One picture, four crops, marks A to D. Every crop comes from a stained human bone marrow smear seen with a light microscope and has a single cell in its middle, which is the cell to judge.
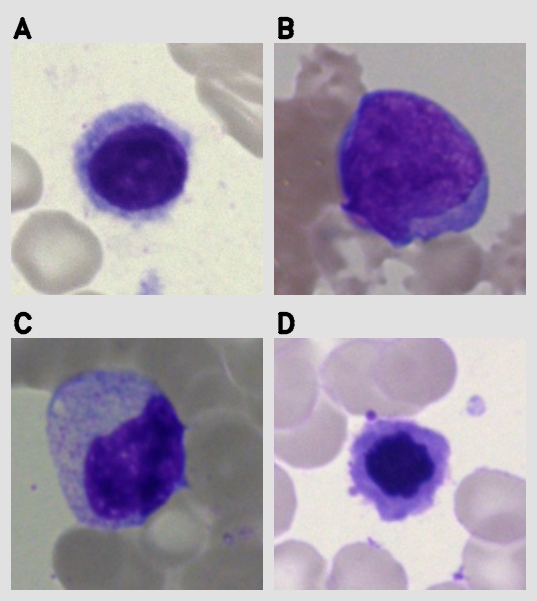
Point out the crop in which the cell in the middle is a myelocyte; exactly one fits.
C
